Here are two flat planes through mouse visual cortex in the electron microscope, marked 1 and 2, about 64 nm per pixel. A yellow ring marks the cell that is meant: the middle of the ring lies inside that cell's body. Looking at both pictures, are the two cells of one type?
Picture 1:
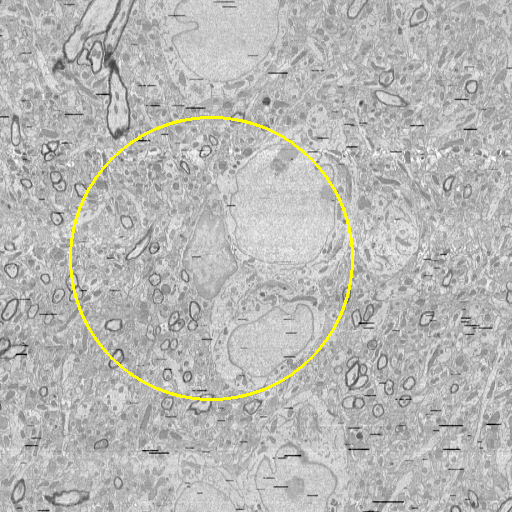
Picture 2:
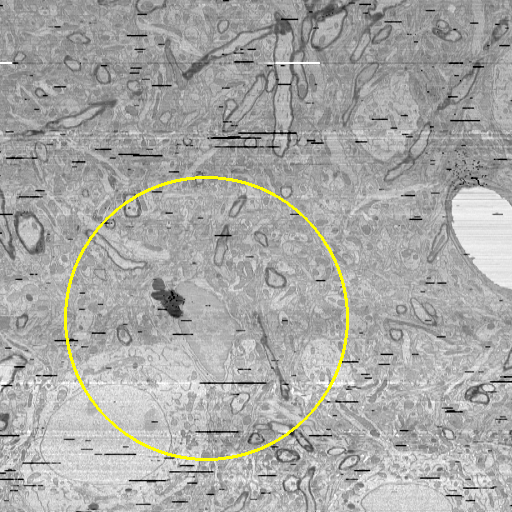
Yes, both cells are microglial cells.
